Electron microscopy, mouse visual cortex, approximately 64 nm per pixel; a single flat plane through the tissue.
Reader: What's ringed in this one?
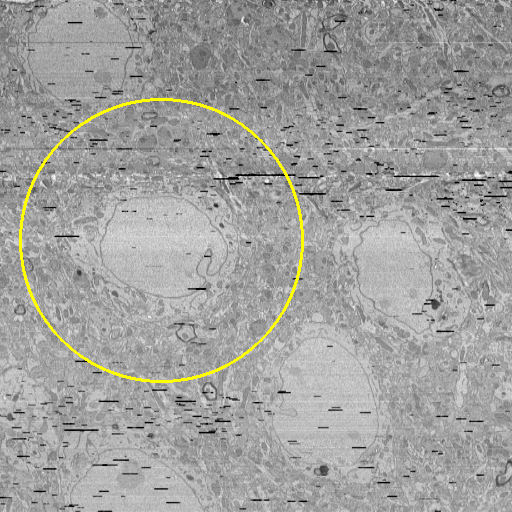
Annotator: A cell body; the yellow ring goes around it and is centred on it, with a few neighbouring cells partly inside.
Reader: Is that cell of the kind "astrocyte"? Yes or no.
no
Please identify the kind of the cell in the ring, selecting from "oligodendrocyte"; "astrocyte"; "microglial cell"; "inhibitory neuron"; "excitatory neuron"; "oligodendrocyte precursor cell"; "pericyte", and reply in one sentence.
The ring's central cell is an excitatory neuron instead.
